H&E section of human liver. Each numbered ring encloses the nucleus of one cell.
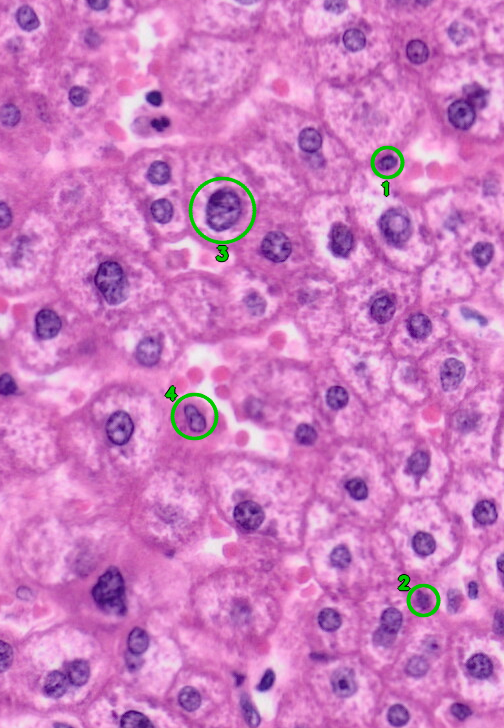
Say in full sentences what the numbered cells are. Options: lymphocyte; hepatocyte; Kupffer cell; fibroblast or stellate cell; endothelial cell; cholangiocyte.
Cells 1 and 2 are fibroblasts or stellate cells. Cell 3 is a hepatocyte. Cell 4 is a Kupffer cell.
